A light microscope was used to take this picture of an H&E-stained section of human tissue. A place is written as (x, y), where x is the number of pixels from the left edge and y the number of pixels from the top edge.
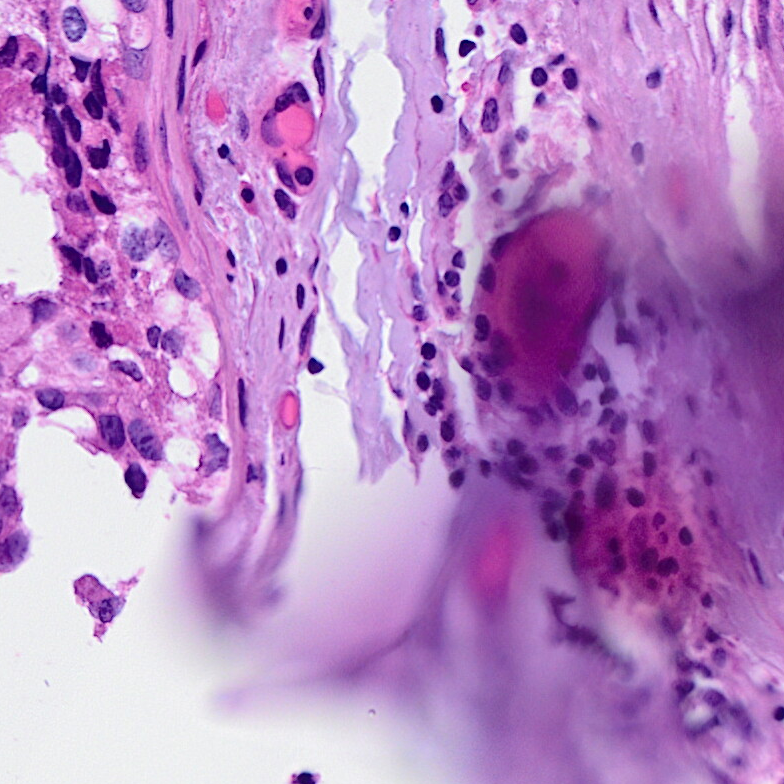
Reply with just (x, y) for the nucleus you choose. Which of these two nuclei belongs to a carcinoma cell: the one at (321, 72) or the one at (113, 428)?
(113, 428)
